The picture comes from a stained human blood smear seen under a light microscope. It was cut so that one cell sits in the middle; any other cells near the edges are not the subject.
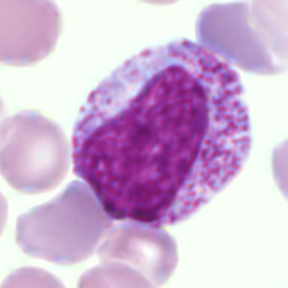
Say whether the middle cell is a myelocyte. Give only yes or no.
yes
